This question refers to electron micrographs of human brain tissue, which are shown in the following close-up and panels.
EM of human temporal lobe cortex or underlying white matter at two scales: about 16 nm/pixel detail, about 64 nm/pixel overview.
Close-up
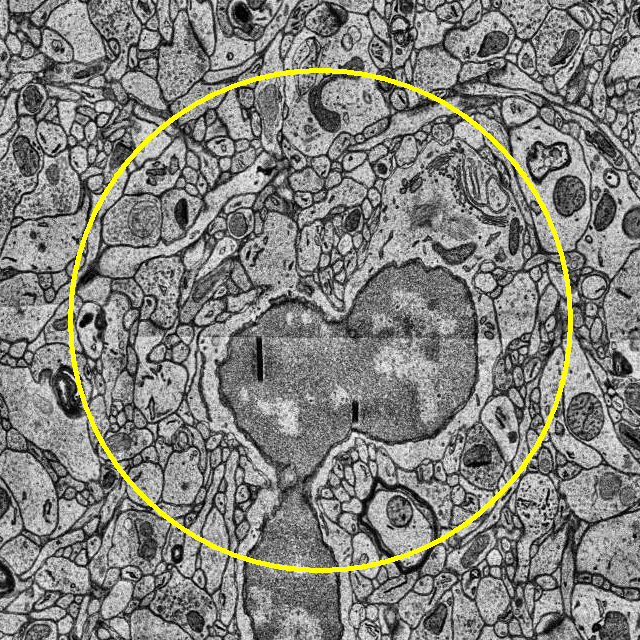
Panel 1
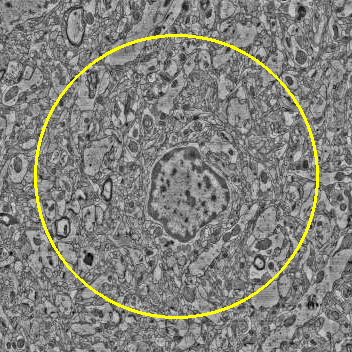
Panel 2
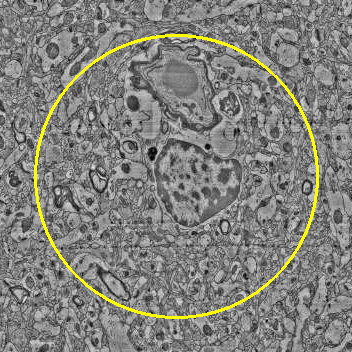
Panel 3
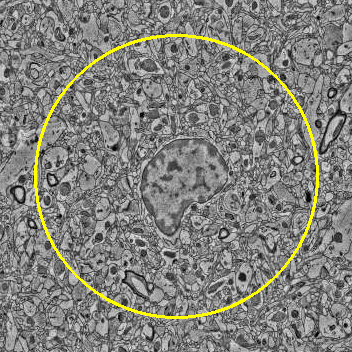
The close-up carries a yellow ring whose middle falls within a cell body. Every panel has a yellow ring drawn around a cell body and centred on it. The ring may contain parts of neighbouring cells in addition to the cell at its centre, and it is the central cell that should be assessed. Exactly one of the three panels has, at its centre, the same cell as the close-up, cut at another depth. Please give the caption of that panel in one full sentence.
The cell seen up close is the one ringed within Panel 3.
